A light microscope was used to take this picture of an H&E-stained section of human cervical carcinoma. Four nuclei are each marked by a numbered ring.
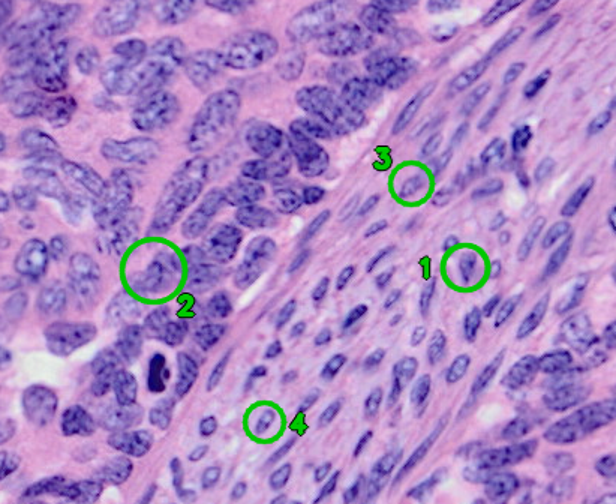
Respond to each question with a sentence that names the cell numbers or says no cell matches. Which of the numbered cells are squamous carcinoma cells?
The numbered cells include exactly one that is a squamous carcinoma cell, which is cell 2.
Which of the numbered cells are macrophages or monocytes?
Each numbered cell falls outside the category of macrophages or monocytes.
